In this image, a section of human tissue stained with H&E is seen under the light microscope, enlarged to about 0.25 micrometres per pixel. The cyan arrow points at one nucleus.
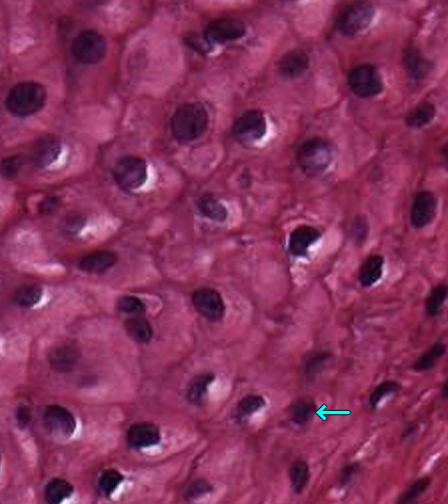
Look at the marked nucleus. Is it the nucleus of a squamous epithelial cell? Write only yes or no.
yes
